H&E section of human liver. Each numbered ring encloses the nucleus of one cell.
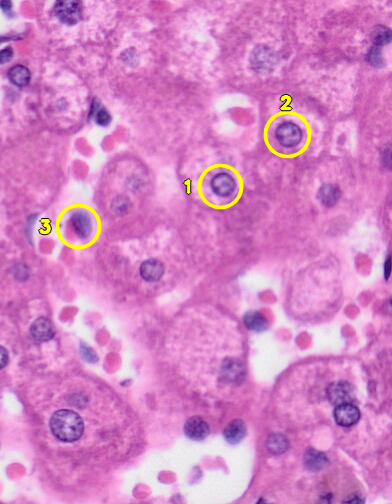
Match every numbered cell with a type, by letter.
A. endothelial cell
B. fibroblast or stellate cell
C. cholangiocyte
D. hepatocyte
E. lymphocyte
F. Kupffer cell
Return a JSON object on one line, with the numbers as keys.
{"1": "D", "2": "D", "3": "A"}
